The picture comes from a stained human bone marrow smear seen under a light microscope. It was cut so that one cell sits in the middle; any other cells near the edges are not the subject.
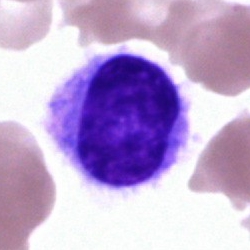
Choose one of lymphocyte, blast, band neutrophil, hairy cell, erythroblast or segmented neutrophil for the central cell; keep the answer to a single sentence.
The middle of this crop is occupied by a hairy cell.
